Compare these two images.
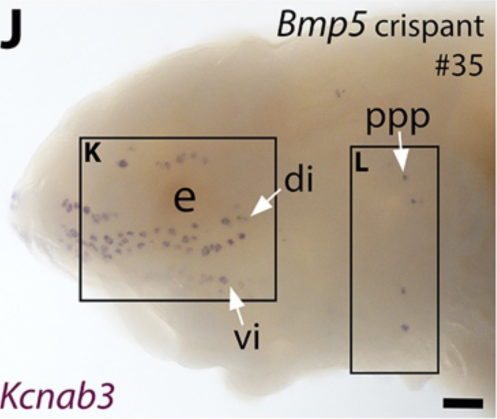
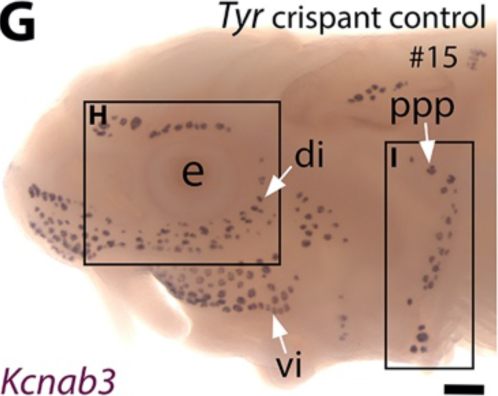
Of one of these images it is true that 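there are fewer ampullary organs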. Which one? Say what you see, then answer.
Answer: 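Second image: dense fields of many dark purple dots around and below the eye and behind it. First image: sparser, paler purple dots, with the field behind the eye nearly empty. The answer: the first image.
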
